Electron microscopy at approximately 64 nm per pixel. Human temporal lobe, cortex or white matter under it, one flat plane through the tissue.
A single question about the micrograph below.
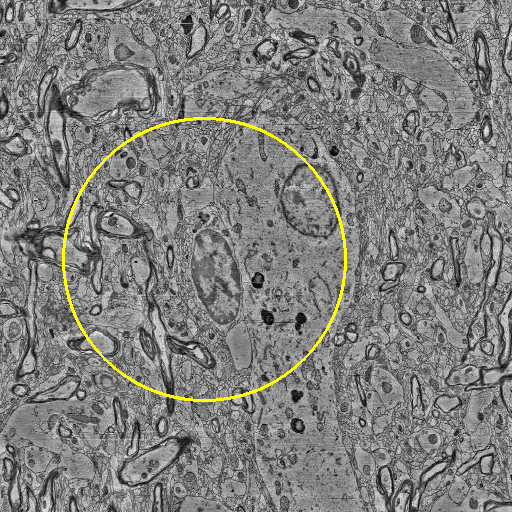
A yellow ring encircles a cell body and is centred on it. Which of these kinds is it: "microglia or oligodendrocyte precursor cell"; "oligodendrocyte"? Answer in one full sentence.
The cell body at the centre of the yellow ring belongs to a microglial cell or oligodendrocyte precursor cell.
